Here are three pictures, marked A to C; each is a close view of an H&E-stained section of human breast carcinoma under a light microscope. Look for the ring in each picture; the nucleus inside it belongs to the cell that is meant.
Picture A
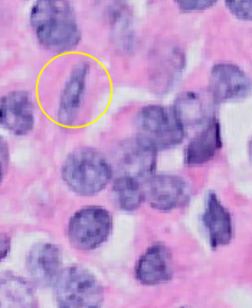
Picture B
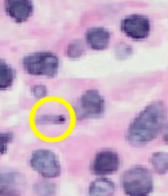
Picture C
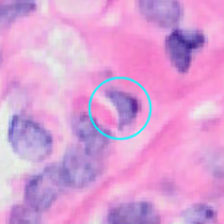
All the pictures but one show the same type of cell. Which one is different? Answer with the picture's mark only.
B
